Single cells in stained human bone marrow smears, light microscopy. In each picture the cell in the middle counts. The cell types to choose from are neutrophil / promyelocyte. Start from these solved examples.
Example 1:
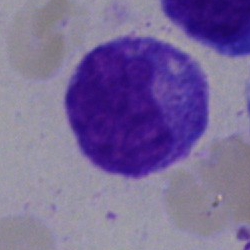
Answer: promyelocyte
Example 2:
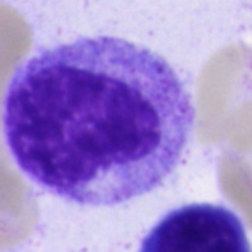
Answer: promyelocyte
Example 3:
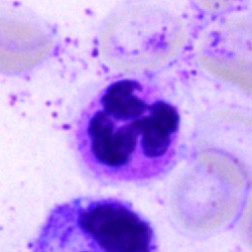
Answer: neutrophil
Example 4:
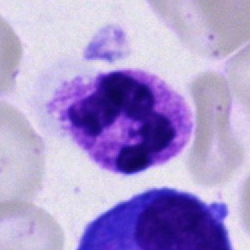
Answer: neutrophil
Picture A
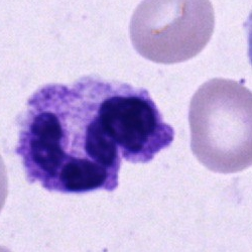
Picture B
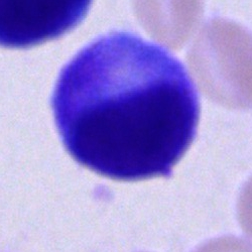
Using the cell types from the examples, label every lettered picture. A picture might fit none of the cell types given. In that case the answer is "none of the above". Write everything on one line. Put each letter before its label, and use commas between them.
A neutrophil, B promyelocyte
